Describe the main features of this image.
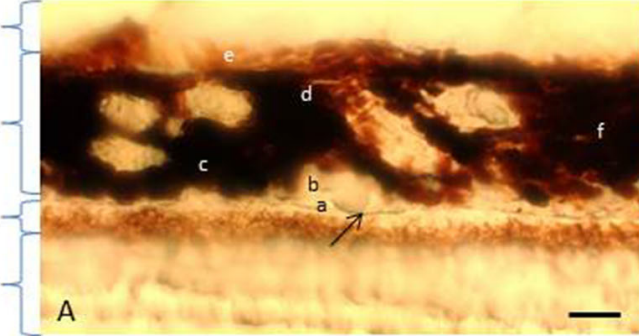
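This is a cross-section of the choroid, lying between the pale neuroretina below and the thin sclera above, and it is packed with dark brown pigment. A thin membrane runs just above the brownish band of pigment epithelium, separating it from the capillary layer.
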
